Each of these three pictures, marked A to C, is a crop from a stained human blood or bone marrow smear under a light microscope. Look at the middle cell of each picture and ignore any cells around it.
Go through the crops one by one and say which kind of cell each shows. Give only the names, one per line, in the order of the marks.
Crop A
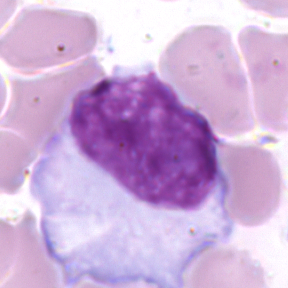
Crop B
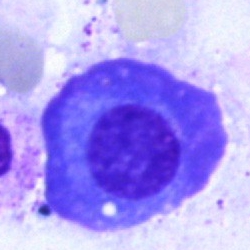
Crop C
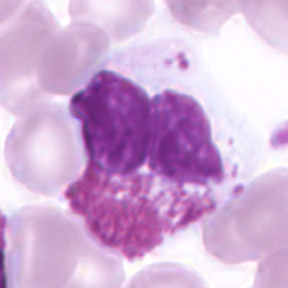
plasma cell
plasma cell
eosinophil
